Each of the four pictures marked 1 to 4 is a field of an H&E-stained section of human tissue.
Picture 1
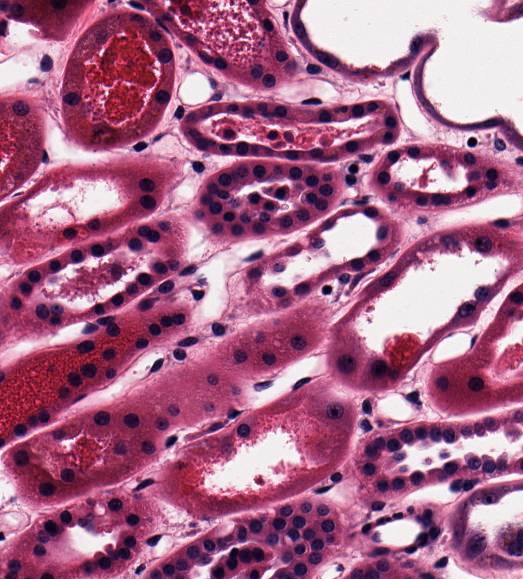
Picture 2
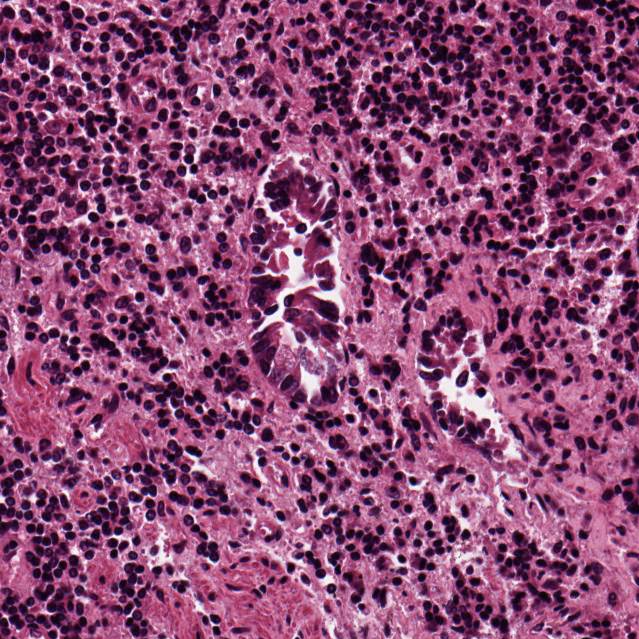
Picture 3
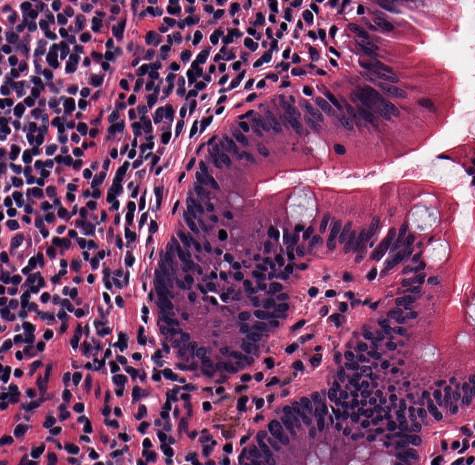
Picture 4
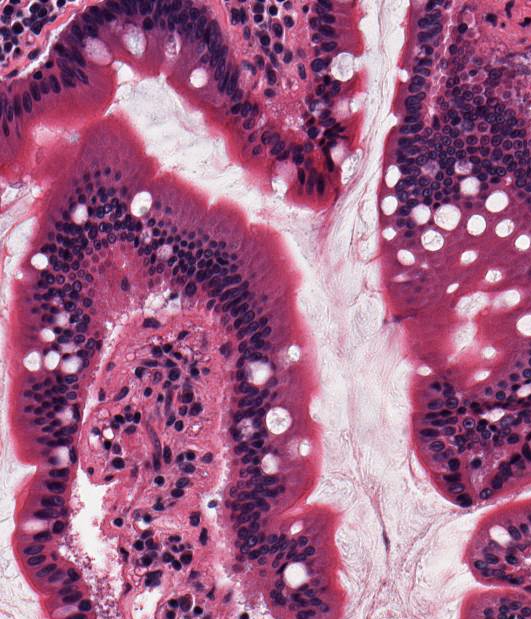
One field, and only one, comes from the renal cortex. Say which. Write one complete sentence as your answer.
The one that comes from the renal cortex is picture 1.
